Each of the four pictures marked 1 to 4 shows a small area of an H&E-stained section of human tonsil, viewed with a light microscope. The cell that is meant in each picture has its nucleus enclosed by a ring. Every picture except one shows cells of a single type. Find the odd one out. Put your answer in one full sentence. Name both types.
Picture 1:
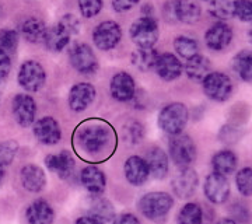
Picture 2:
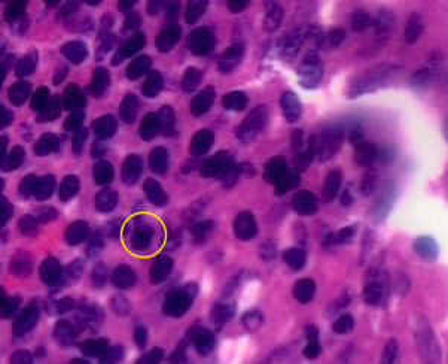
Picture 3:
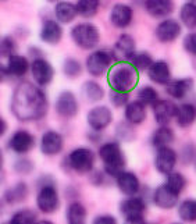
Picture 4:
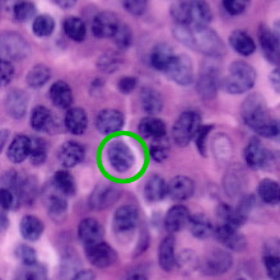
All pictures except 3 show plasma cells; picture 3 shows a small lymphocyte.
